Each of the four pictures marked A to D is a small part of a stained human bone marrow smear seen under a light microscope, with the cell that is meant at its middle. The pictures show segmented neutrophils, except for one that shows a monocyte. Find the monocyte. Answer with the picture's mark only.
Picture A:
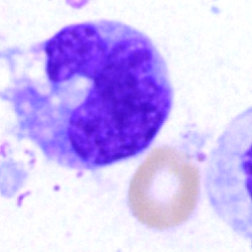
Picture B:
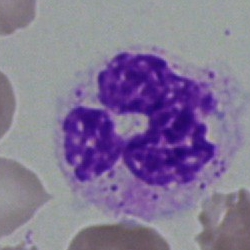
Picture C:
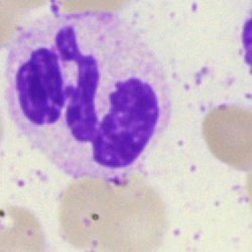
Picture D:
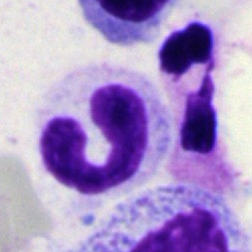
A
